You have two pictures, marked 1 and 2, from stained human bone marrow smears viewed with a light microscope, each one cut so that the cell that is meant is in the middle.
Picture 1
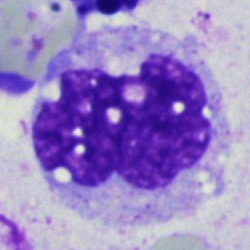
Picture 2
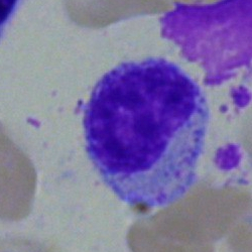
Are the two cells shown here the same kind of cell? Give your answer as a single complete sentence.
No, the types are not the same, since picture 1 shows a monocyte and picture 2 a myelocyte.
